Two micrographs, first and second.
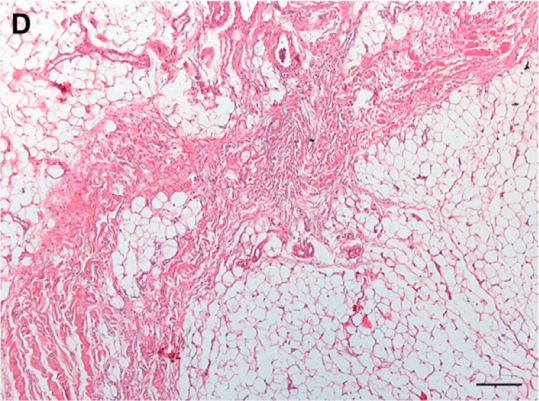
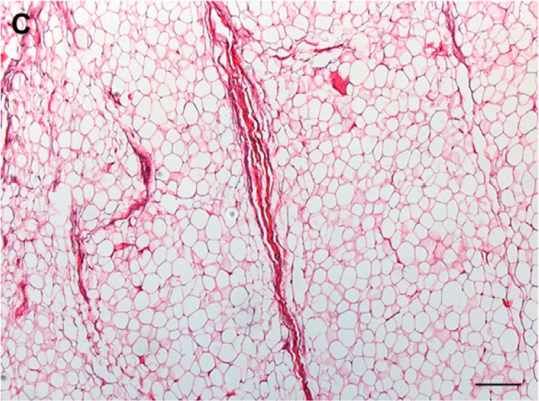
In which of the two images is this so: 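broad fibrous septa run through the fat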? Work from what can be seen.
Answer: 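First image: a wide band of dense pink fibrous tissue divides the fat cells.
Hence: the first image.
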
